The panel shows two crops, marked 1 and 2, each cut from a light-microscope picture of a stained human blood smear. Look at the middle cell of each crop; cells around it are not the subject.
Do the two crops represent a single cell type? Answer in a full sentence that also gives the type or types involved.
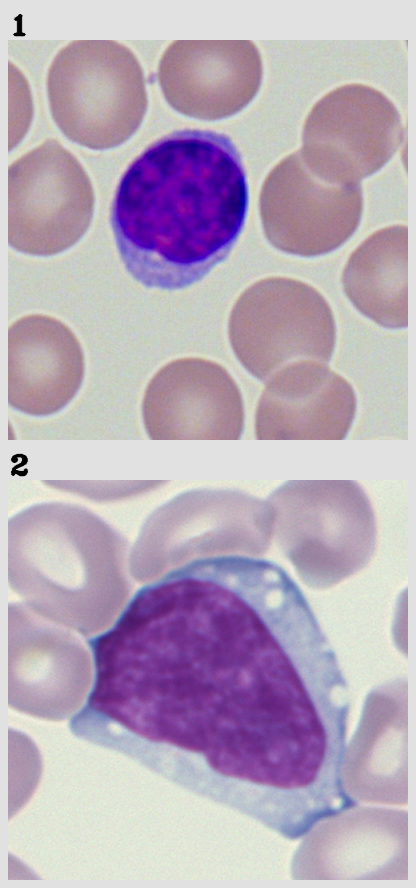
No, the cells are a lymphocyte in crop 1 and a blast in crop 2.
